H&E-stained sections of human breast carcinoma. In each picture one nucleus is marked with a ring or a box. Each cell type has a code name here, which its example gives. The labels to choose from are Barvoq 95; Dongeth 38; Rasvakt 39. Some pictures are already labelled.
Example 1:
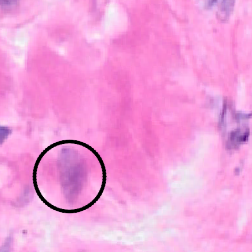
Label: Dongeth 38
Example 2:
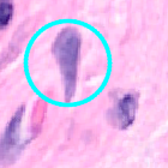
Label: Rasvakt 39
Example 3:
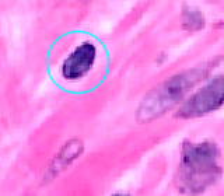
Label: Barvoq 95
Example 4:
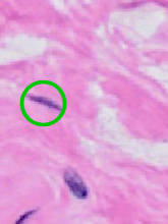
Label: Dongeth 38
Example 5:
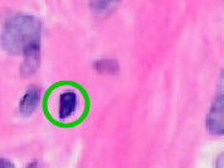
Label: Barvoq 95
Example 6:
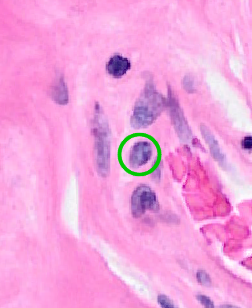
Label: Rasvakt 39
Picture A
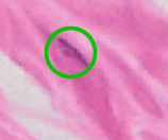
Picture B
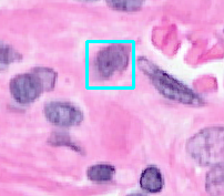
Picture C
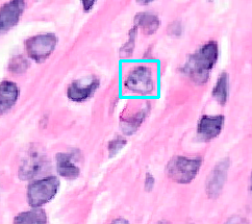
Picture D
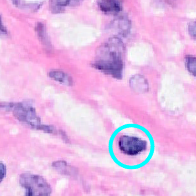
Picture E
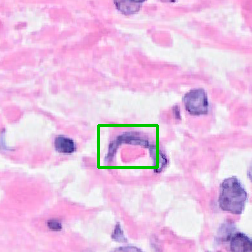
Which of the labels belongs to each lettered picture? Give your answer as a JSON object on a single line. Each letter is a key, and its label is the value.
{"A": "Dongeth 38", "B": "Rasvakt 39", "C": "Rasvakt 39", "D": "Barvoq 95", "E": "Rasvakt 39"}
